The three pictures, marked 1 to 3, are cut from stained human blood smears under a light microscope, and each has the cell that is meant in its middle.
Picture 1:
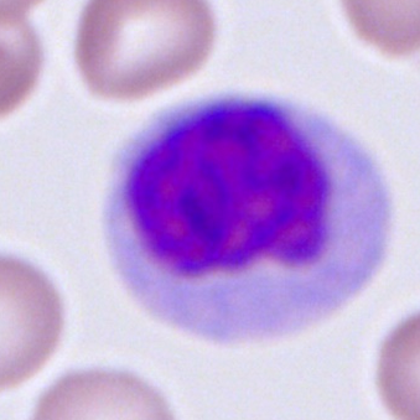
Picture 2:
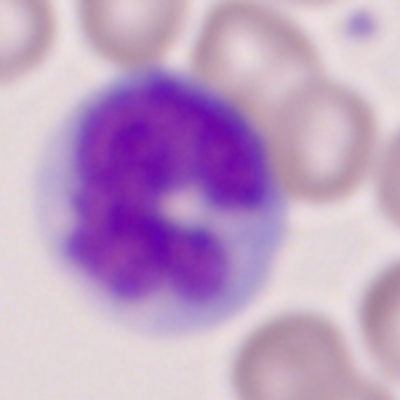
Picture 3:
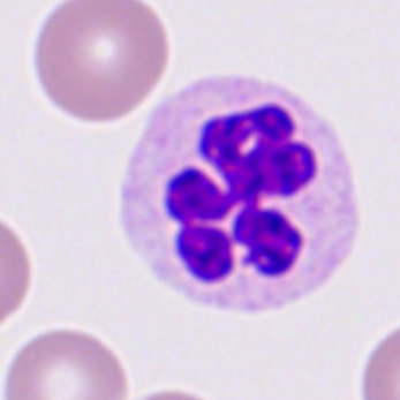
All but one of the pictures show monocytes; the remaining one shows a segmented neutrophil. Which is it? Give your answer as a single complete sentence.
The segmented neutrophil is the one in picture 3.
